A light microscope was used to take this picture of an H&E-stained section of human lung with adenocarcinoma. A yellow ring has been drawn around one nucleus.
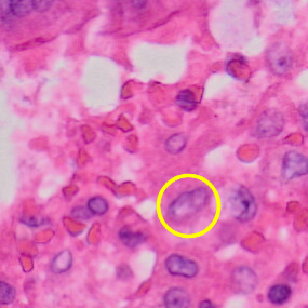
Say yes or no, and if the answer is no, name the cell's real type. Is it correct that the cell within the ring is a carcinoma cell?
No, it is a macrophage or monocyte.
